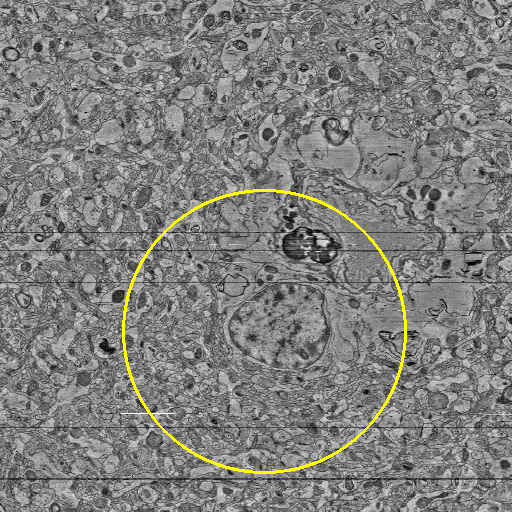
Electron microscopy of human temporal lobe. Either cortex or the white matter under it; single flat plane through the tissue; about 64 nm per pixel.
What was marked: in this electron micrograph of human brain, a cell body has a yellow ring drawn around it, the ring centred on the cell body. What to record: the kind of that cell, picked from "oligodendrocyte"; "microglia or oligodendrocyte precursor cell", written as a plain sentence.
The centred cell is a microglial cell or oligodendrocyte precursor cell.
